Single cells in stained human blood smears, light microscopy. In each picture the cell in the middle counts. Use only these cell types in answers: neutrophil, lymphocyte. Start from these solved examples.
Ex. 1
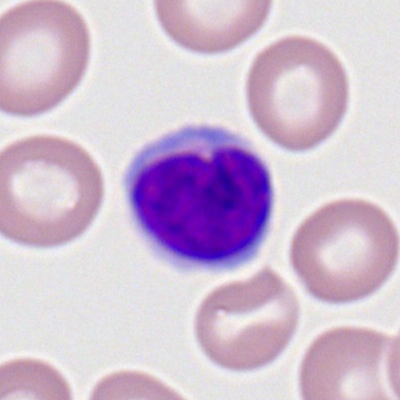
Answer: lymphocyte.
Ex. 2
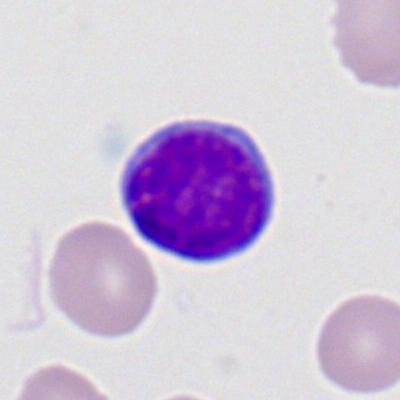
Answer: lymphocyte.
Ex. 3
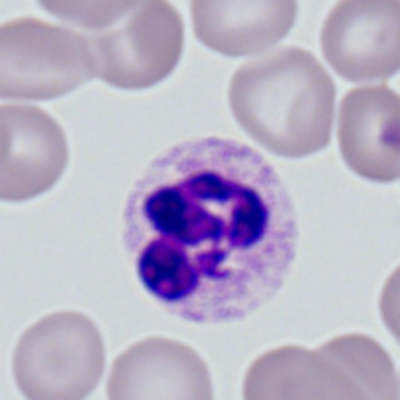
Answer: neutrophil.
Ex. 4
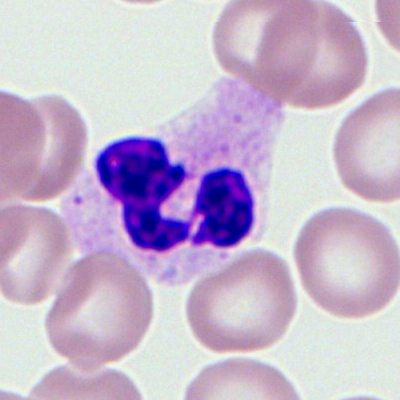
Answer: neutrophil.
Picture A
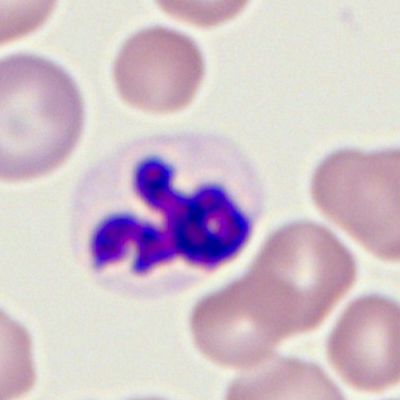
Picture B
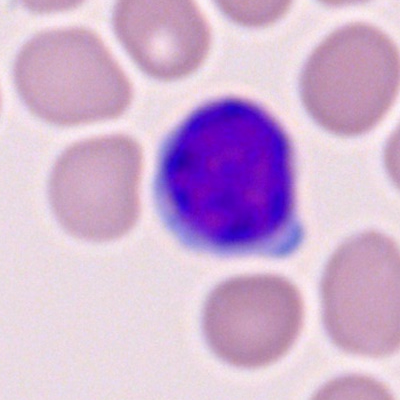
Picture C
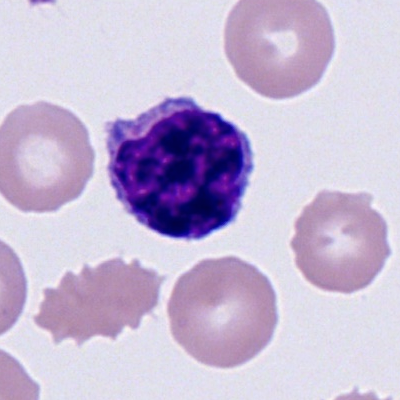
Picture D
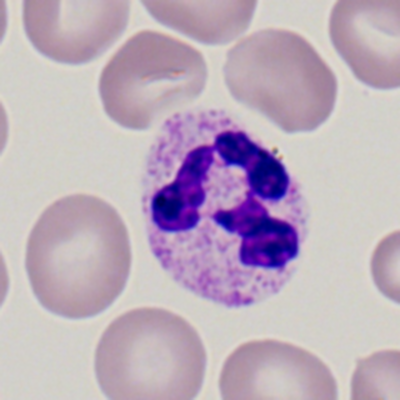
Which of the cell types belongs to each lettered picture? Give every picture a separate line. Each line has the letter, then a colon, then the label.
A: neutrophil.
B: lymphocyte.
C: lymphocyte.
D: neutrophil.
